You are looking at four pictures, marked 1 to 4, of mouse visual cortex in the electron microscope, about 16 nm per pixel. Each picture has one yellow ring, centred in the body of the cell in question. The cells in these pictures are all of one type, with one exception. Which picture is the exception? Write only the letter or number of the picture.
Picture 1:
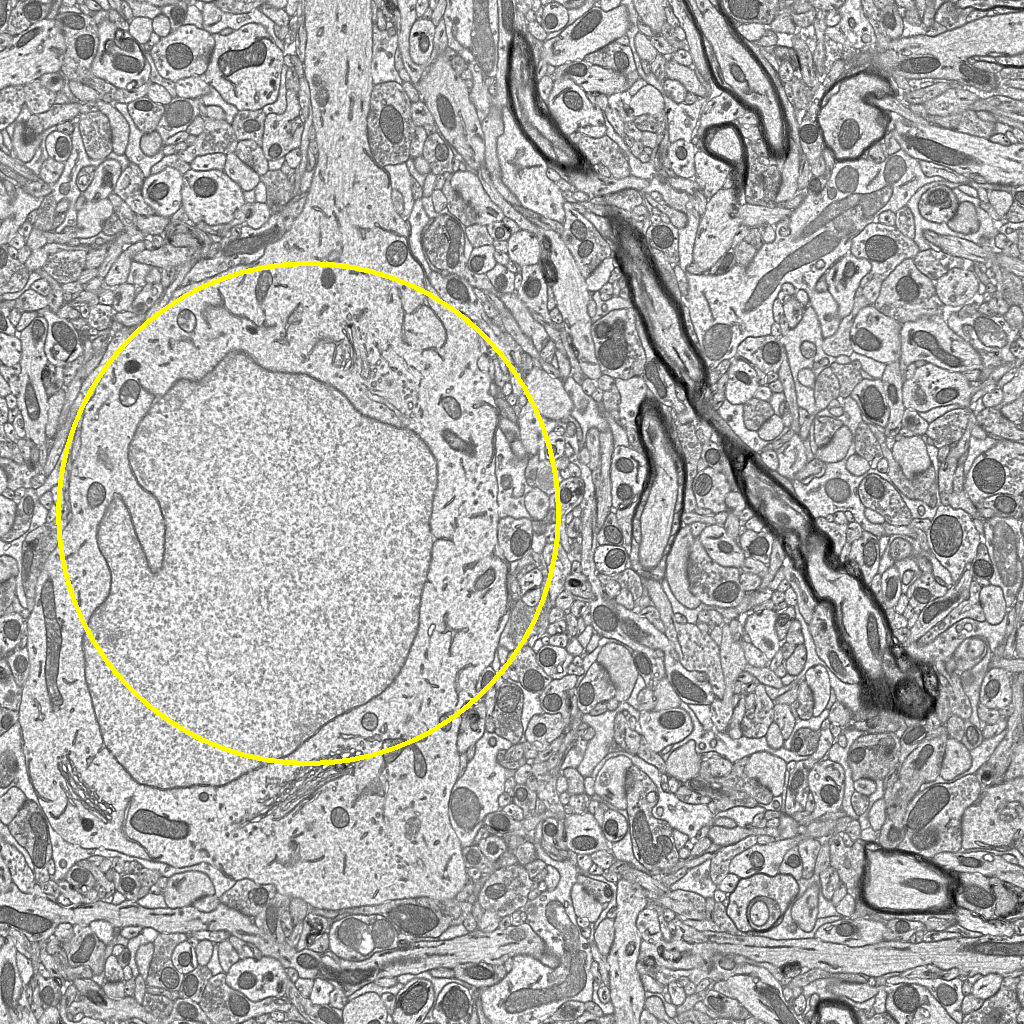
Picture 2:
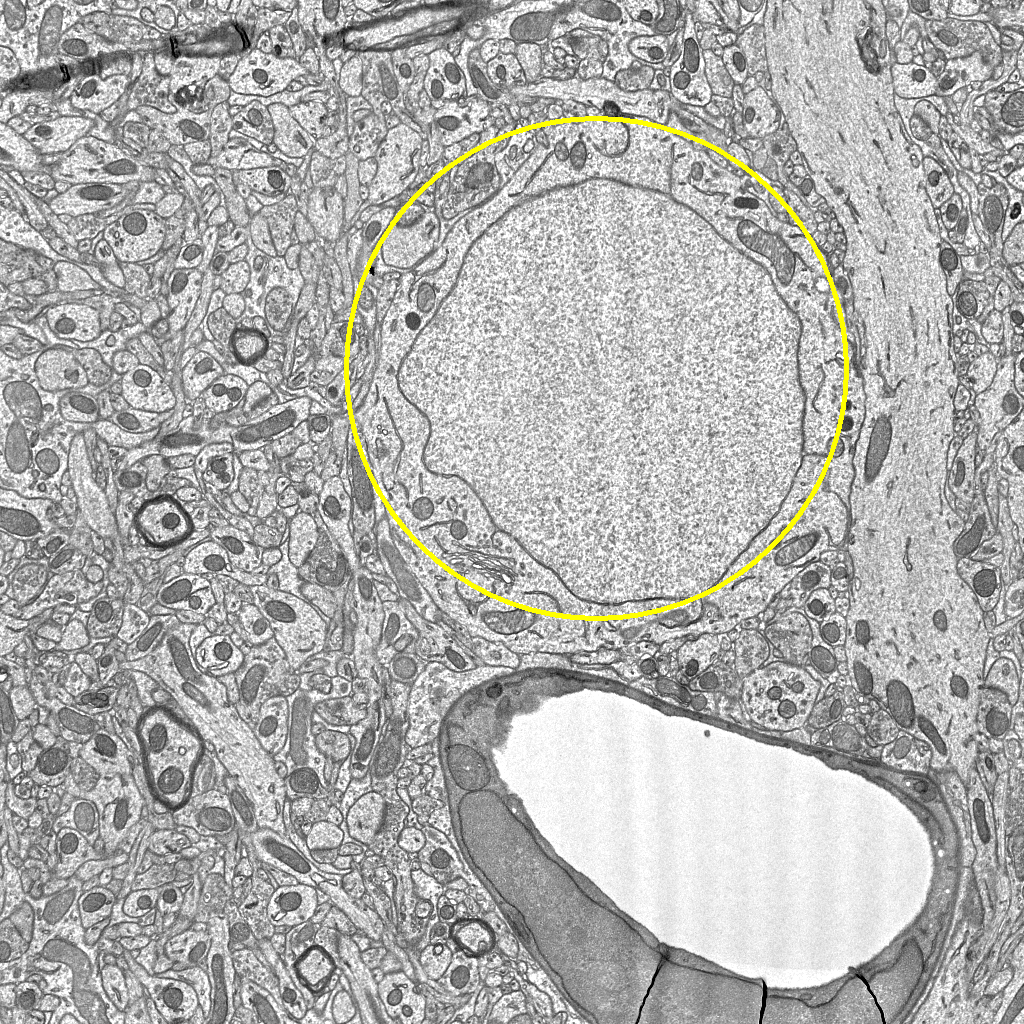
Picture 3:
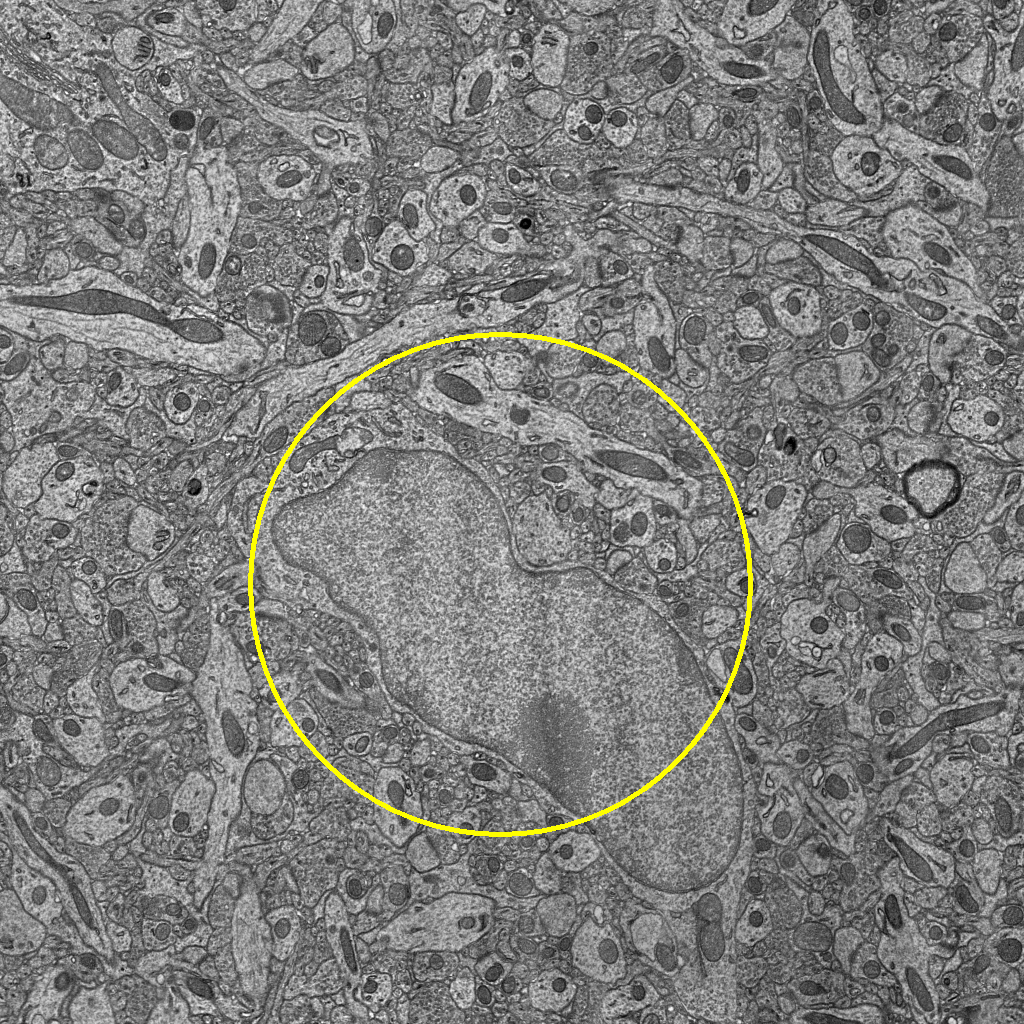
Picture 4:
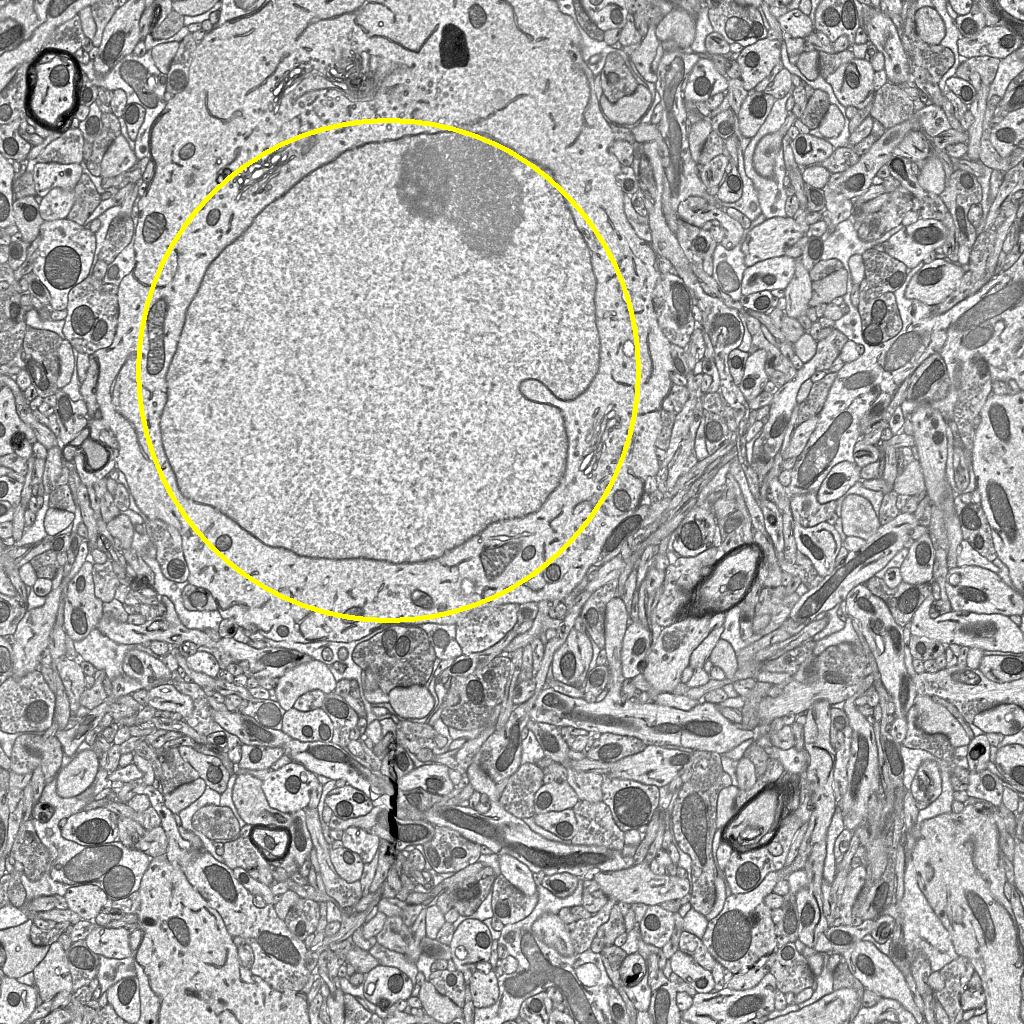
3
